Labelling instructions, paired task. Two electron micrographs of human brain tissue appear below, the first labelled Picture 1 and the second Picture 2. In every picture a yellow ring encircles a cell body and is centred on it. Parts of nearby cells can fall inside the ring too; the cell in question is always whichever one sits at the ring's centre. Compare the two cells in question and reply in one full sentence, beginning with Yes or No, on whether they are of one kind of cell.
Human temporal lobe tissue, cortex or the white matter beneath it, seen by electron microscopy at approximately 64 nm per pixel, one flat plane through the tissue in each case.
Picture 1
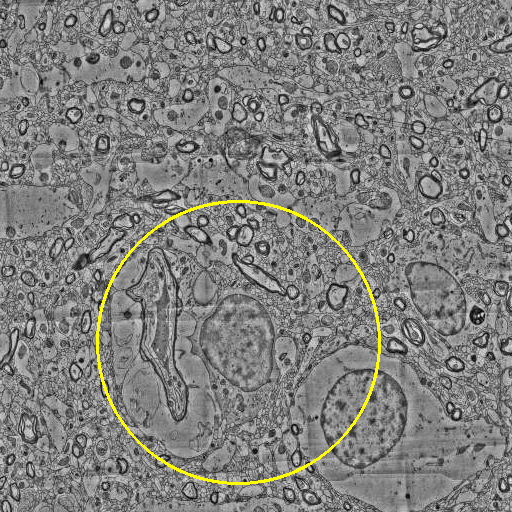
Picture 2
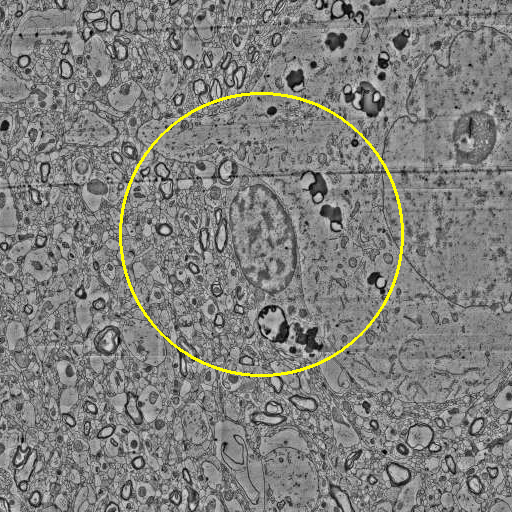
Yes, the two cells at the ring centres in Picture 1 and Picture 2 are of one kind.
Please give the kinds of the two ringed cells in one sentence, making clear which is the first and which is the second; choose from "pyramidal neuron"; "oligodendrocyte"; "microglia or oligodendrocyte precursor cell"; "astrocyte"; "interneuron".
The ring centre holds an oligodendrocyte in each of the two pictures.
